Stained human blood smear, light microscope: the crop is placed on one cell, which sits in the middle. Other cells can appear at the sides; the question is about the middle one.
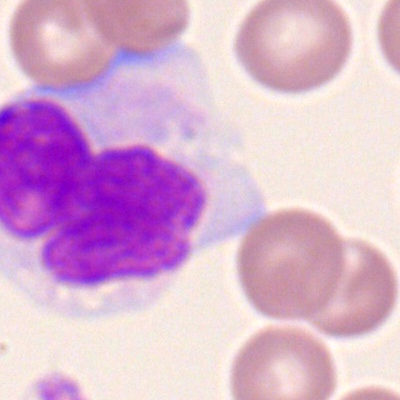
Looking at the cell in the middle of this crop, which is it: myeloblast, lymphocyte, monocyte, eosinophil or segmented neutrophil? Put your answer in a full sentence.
This crop's central cell is a monocyte.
